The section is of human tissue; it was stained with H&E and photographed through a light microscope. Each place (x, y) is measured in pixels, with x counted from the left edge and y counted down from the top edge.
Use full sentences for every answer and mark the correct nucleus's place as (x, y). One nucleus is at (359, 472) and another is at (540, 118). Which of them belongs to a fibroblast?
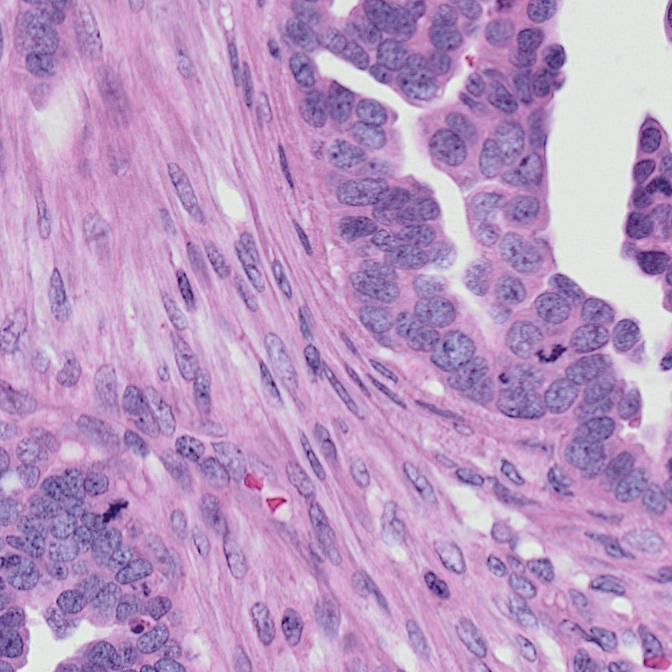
The nucleus at (359, 472) is part of a fibroblast, while the other is not.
